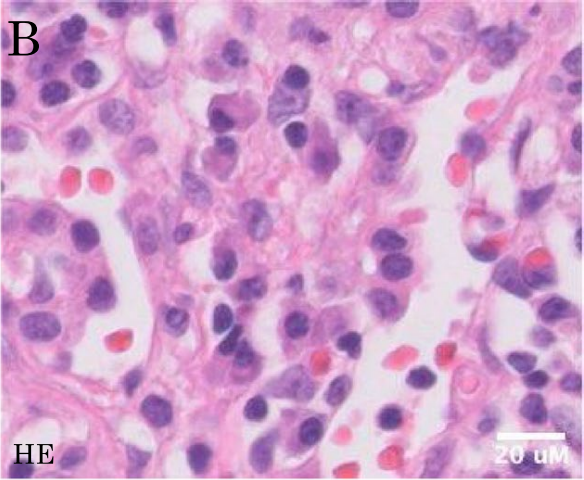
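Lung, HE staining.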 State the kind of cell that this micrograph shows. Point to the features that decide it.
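Plasma cells. Many round cells with eccentrically placed round nuclei. Nuclei with coarse, clumped dark chromatin. Ample purple-pink cytoplasm beside the nucleus.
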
